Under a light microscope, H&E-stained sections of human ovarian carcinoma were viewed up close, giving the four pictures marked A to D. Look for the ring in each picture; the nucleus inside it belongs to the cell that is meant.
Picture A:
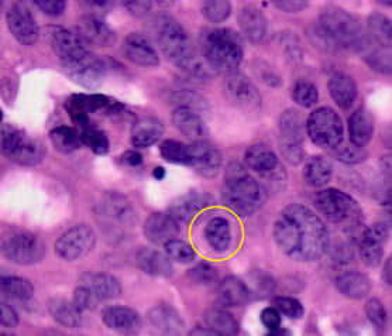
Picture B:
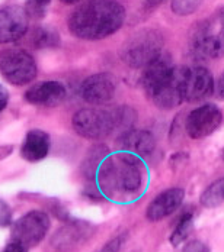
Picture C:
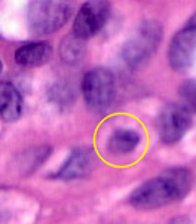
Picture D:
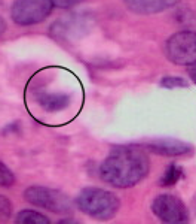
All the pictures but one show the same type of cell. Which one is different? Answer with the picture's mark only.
B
